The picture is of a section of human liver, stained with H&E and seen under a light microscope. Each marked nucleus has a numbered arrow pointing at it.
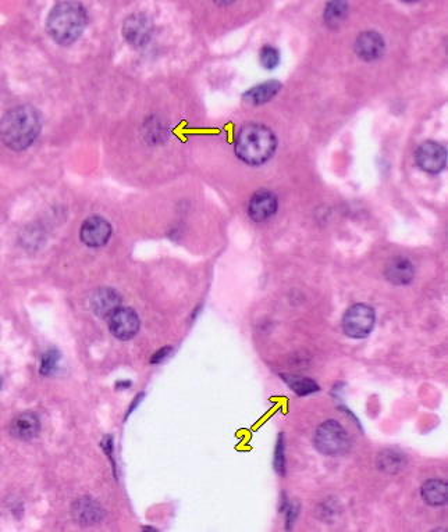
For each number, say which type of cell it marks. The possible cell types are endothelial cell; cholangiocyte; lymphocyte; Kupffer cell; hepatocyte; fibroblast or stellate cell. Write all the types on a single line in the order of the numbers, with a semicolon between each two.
hepatocyte; fibroblast or stellate cell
